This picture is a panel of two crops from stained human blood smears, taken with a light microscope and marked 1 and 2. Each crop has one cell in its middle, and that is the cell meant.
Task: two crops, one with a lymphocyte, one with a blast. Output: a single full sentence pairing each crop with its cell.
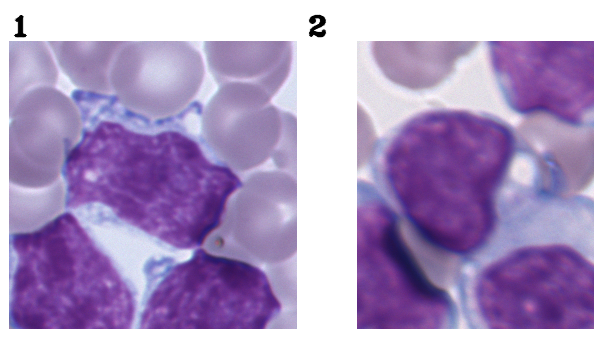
Identification: crop 1 is a lymphocyte; crop 2 is a blast.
